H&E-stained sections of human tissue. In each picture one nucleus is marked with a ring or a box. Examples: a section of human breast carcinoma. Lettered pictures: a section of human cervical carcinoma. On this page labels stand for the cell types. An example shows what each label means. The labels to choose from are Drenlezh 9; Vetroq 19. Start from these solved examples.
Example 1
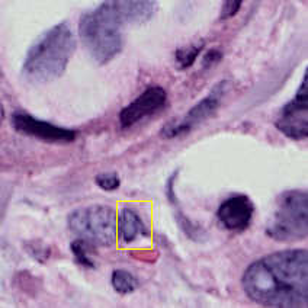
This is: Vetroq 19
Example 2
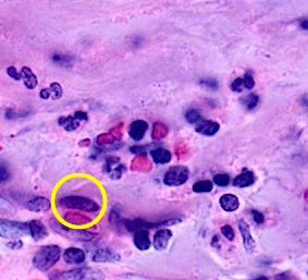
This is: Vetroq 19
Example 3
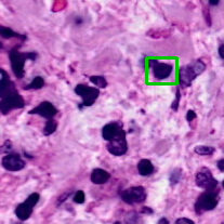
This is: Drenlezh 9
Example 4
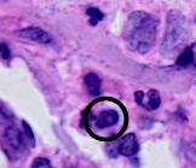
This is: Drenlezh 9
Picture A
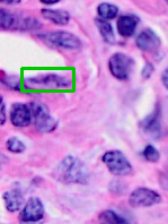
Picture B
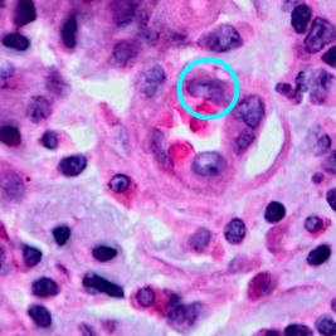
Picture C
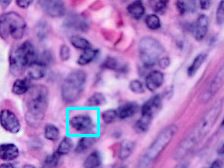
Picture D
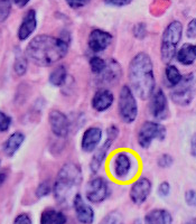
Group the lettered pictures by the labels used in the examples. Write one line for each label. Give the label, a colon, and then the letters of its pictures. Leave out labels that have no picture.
Drenlezh 9: C, D
Vetroq 19: A, B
